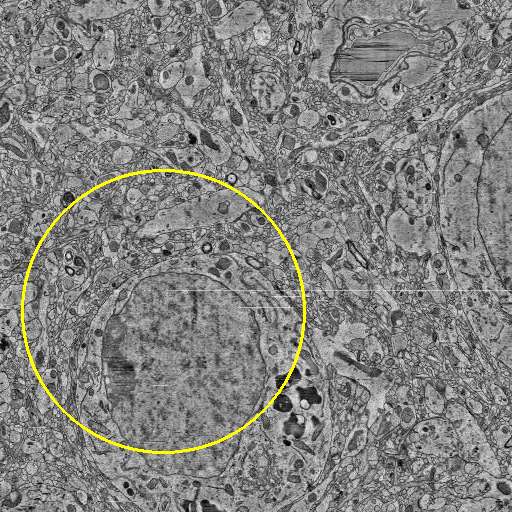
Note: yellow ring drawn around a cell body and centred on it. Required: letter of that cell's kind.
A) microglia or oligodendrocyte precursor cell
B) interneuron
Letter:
B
